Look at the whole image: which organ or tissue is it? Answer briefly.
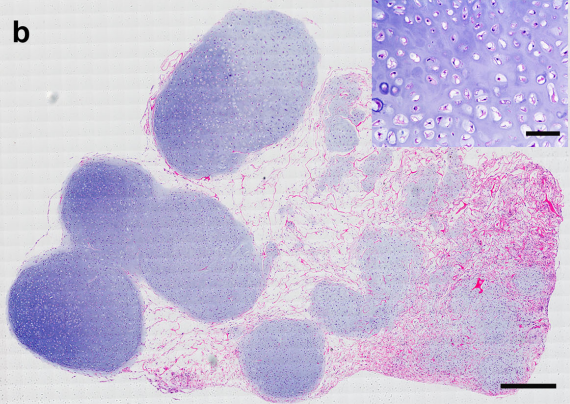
cartilage masses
